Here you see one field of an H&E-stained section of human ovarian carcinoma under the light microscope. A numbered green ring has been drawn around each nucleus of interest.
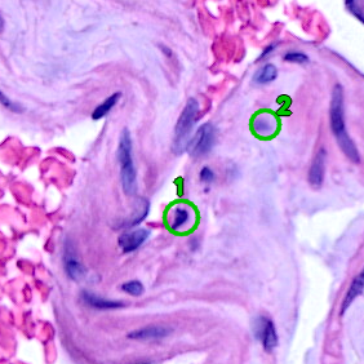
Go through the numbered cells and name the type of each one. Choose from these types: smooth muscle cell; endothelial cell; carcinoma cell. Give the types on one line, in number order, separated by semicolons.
endothelial cell; smooth muscle cell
